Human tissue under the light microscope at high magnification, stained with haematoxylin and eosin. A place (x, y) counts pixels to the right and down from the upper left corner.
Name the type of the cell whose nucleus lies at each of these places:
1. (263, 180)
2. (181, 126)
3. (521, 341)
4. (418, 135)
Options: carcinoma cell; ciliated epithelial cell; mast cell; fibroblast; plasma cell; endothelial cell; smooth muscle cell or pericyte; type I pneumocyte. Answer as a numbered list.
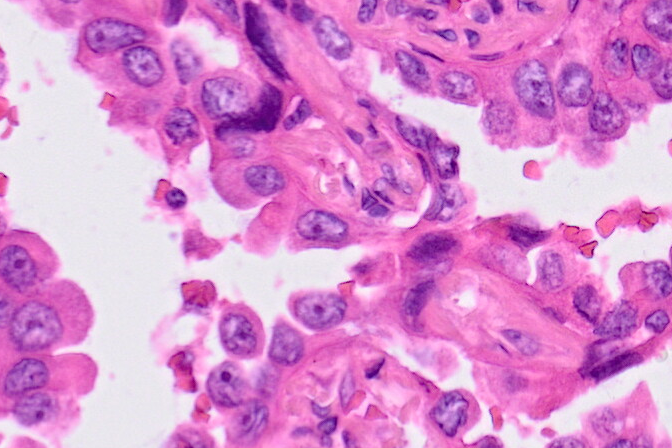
1. carcinoma cell
2. carcinoma cell
3. fibroblast
4. carcinoma cell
